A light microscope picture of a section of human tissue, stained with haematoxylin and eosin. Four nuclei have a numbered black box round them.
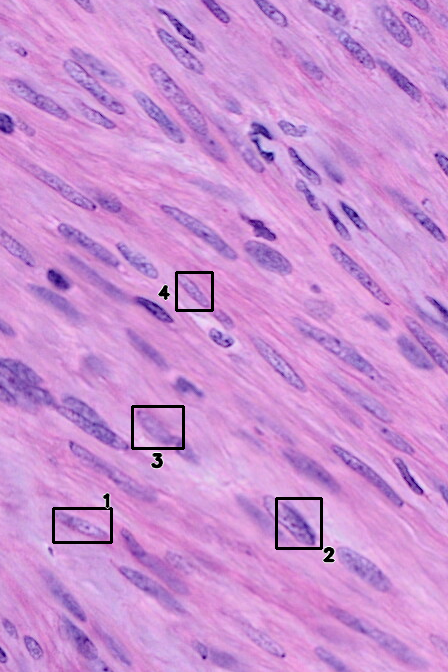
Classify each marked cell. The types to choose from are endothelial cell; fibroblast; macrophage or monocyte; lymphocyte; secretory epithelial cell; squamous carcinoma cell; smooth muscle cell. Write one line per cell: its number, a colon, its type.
1: smooth muscle cell
2: fibroblast
3: smooth muscle cell
4: smooth muscle cell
